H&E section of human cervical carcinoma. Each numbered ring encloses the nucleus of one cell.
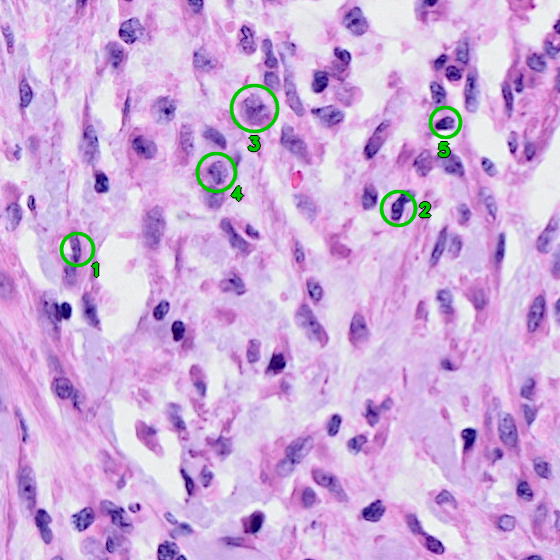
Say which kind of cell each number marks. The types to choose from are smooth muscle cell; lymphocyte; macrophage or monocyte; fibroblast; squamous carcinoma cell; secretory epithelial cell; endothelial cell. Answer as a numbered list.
1. endothelial cell
2. lymphocyte
3. fibroblast
4. fibroblast
5. lymphocyte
